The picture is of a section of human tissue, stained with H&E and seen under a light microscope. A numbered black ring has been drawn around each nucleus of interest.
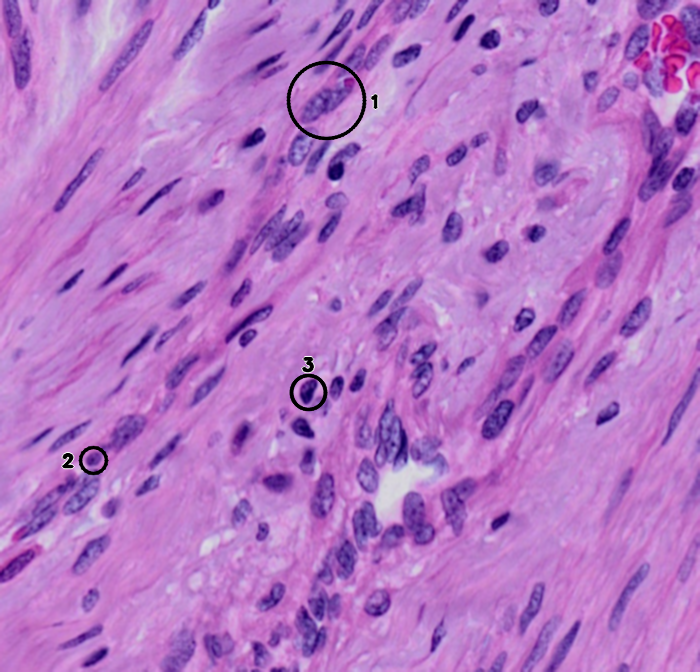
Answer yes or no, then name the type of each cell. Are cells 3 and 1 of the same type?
No, cell 3 is typed as a lymphocyte, and cell 1 is typed as an endothelial cell.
